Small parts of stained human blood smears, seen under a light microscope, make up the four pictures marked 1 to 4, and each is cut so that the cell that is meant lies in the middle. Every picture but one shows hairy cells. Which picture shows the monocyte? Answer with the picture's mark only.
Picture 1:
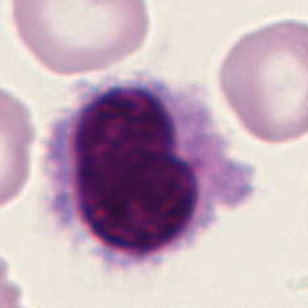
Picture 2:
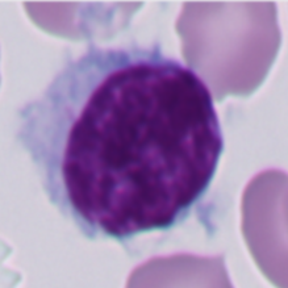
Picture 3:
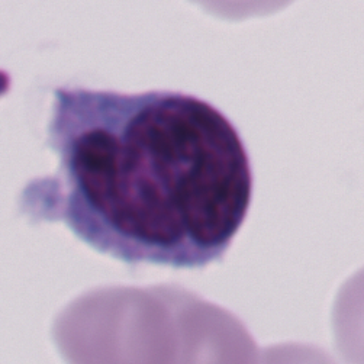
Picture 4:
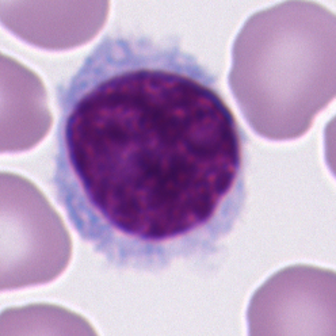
3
